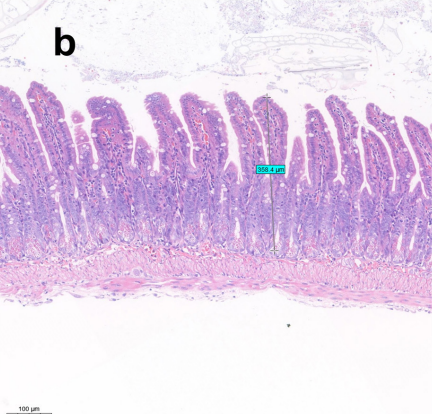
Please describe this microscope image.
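This section of intestinal wall shows a row of tall, slender intestinal villi standing closely side by side and of nearly even height. Each villus is covered by a pink-staining epithelium with a row of purple nuclei and has a narrow core of loose tissue. At the bases of the villi lies a denser purple zone of mucosa, and beneath it a band of pink smooth muscle forms the outer wall.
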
